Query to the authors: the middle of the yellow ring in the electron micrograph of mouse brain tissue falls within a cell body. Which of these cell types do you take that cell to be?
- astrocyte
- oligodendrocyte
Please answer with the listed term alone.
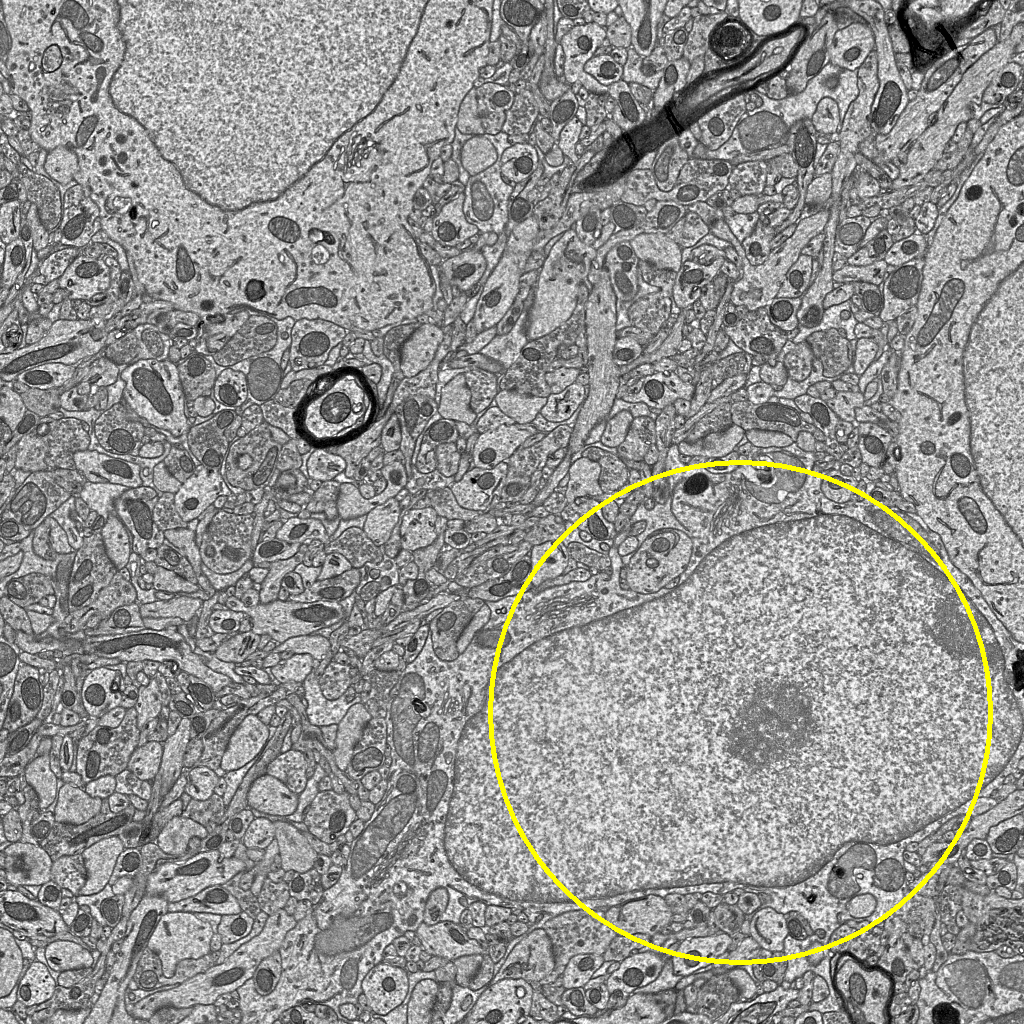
astrocyte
